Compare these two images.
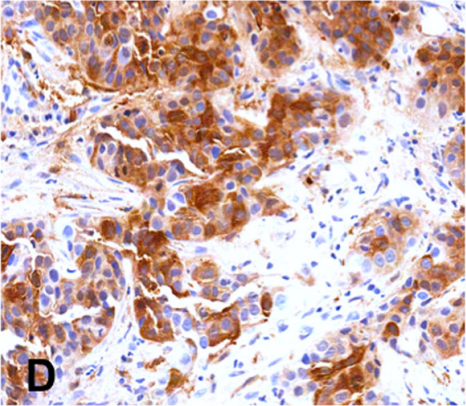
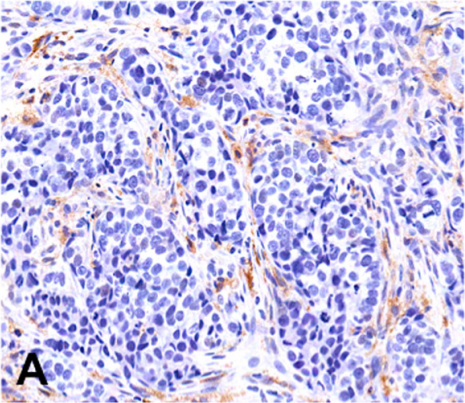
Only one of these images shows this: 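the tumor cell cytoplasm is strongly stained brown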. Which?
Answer: the first image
